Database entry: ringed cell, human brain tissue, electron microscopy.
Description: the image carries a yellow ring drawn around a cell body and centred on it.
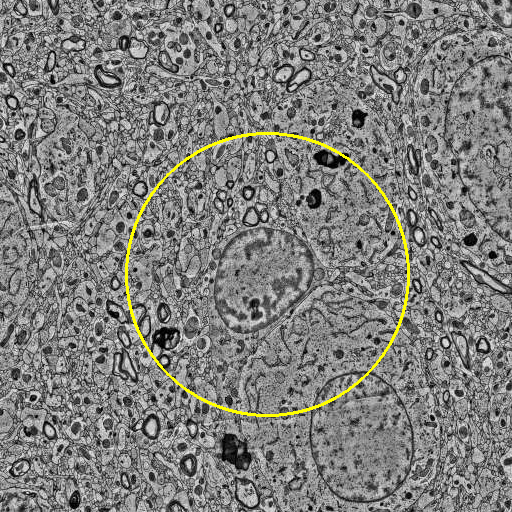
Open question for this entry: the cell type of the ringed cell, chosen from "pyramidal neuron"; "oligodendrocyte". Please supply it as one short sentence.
The ringed cell is an oligodendrocyte.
